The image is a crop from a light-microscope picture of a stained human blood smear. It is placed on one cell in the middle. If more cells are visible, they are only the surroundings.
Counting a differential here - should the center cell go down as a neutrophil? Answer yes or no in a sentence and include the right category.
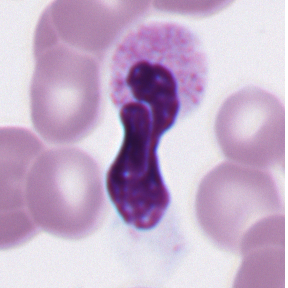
Yes, the centre of the crop holds a neutrophil.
